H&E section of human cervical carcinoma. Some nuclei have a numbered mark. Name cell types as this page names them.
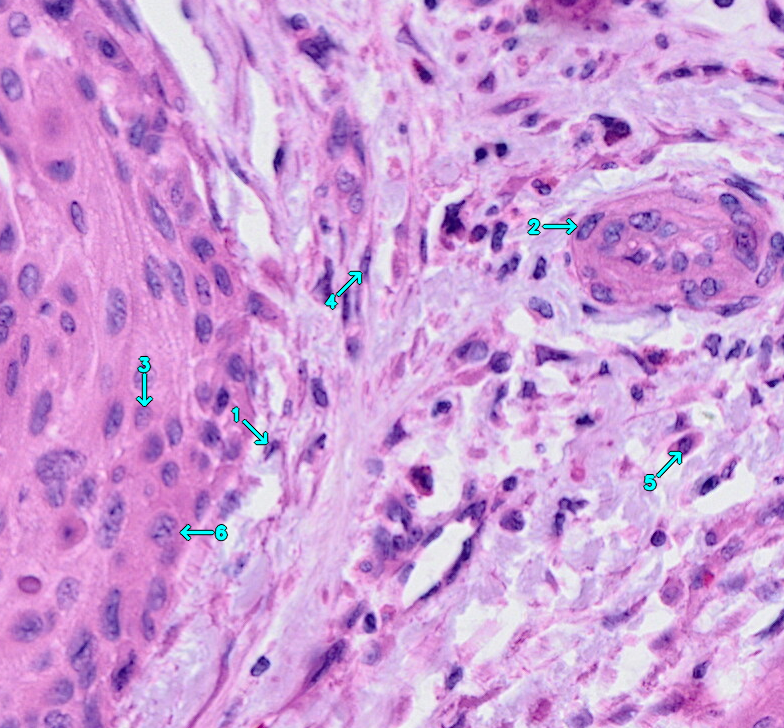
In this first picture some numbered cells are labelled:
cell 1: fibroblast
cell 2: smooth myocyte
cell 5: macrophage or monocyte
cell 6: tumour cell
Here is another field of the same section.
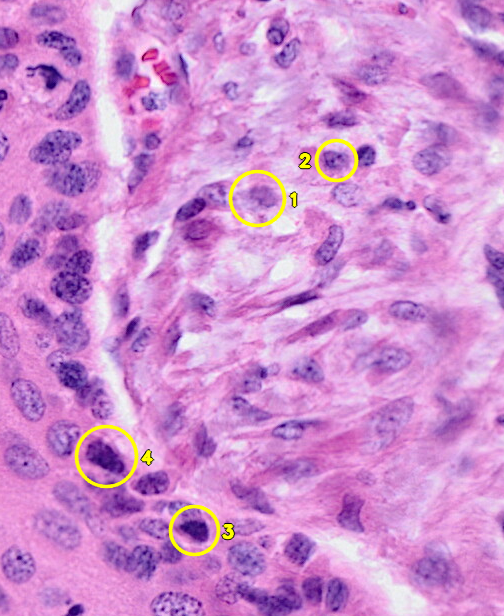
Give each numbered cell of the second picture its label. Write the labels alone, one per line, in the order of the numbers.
fibroblast
macrophage or monocyte
tumour cell
tumour cell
